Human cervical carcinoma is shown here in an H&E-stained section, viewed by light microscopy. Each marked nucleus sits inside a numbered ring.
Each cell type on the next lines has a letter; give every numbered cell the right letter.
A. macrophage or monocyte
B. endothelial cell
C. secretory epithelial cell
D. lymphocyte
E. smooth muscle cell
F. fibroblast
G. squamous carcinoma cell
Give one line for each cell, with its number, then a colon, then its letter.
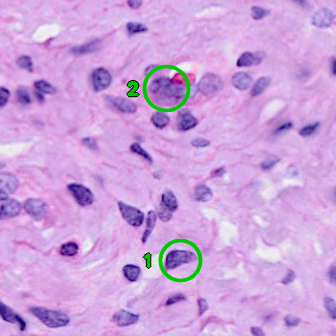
1: F
2: B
